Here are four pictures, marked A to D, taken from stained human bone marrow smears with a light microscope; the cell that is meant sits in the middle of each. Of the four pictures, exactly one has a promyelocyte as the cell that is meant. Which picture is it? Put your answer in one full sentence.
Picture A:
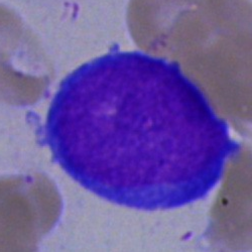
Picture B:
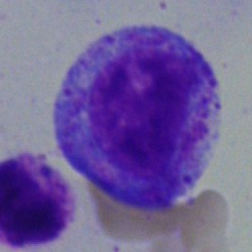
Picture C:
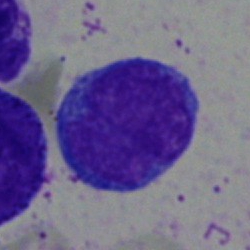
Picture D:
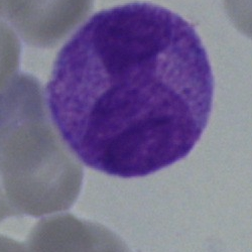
It is picture B that shows the promyelocyte.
